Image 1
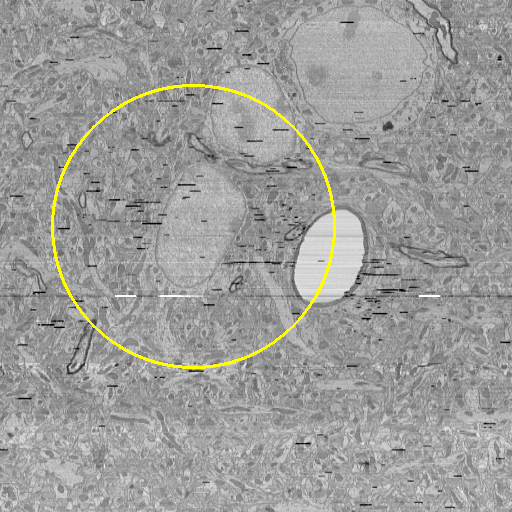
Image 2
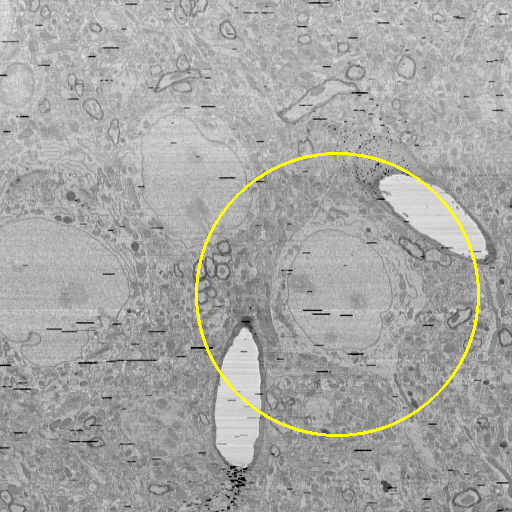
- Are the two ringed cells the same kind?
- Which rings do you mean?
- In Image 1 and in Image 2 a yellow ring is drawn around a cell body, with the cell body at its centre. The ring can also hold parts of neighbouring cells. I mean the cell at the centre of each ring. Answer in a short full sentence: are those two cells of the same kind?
No, the cells are of two kinds.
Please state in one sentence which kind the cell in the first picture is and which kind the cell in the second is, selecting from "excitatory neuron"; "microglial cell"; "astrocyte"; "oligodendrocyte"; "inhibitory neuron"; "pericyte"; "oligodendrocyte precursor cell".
The first ringed cell is an astrocyte, the second ringed cell an excitatory neuron.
